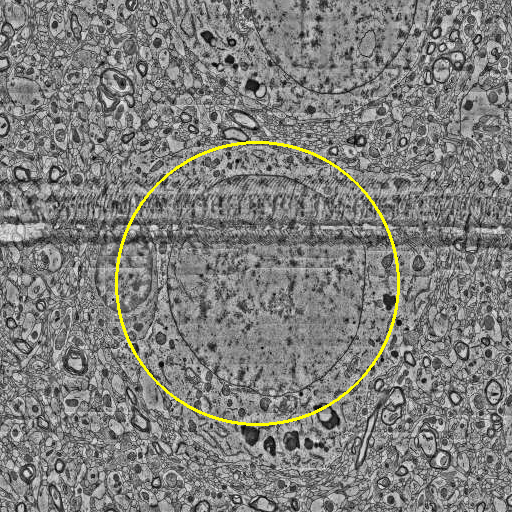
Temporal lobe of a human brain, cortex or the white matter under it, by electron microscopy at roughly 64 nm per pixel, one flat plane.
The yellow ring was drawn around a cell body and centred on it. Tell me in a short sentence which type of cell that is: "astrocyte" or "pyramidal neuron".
The cell at the ring's centre is a pyramidal neuron.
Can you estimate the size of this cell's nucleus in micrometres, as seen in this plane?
The nucleus is approximately 14 micrometers across in this plane.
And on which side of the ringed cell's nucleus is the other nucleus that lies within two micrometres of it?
That other nucleus appears to the left of it.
